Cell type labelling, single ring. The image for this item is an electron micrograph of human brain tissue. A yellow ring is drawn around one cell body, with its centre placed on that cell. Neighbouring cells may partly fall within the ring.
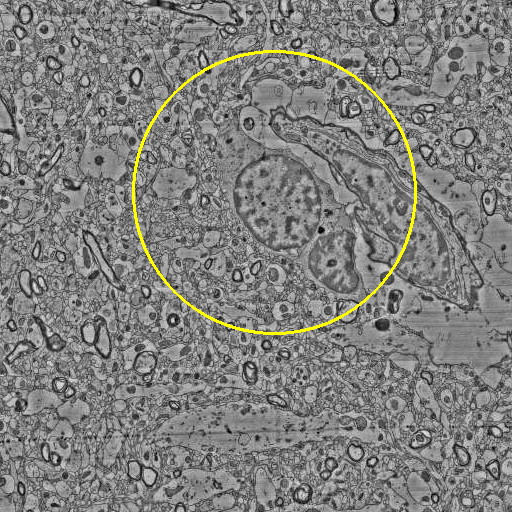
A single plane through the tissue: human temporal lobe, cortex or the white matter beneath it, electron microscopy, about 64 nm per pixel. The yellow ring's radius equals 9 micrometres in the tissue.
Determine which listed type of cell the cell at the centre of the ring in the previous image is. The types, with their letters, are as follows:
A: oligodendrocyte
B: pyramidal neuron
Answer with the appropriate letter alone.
A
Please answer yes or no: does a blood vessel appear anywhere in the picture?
Yes, a blood vessel can be seen.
